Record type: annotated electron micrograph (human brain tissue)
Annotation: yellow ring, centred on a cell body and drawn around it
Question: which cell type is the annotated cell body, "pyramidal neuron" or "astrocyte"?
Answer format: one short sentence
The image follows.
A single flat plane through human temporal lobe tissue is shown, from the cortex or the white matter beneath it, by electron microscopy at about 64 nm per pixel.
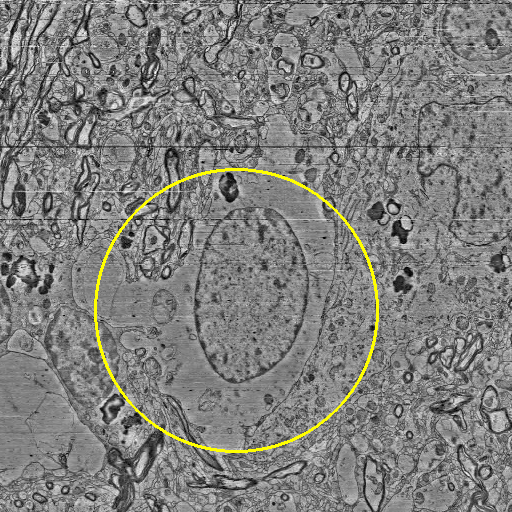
The annotated cell body is that of an astrocyte.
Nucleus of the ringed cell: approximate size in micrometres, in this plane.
Approximately 12 by 7 micrometers, which makes the nucleus clearly longer than it is wide in this plane.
